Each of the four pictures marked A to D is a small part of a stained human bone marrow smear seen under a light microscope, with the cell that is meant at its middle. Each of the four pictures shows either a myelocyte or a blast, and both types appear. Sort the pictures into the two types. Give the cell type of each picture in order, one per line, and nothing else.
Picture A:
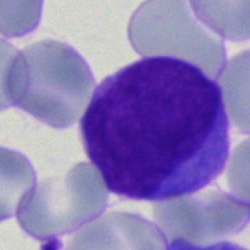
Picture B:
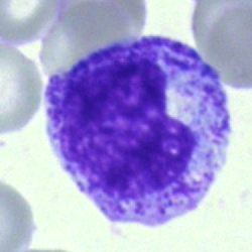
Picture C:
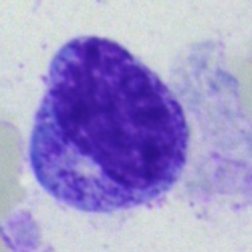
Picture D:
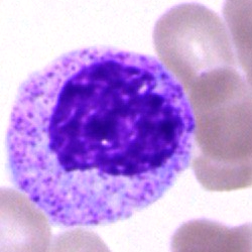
blast
myelocyte
myelocyte
myelocyte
